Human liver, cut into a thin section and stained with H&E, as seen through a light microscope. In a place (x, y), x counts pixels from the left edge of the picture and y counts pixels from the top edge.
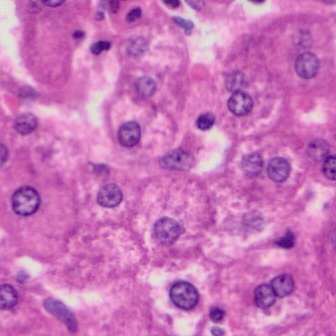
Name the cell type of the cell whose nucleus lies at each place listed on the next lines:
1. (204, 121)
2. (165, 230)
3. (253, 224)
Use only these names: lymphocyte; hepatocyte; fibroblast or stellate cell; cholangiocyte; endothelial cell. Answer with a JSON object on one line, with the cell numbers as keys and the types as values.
{"1": "lymphocyte", "2": "hepatocyte", "3": "hepatocyte"}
